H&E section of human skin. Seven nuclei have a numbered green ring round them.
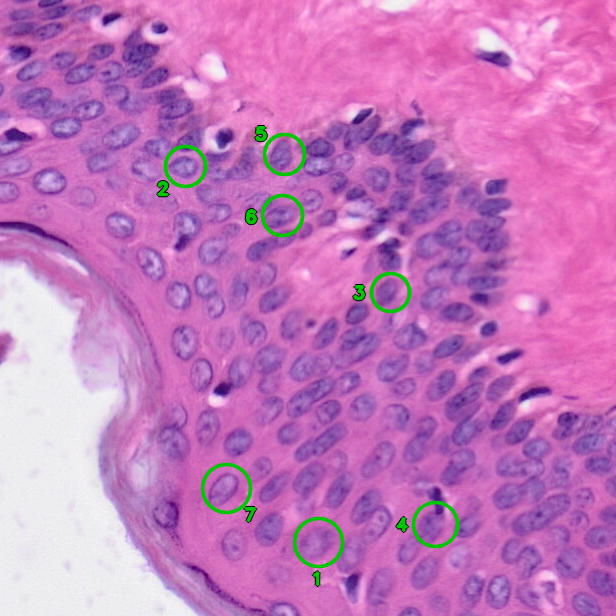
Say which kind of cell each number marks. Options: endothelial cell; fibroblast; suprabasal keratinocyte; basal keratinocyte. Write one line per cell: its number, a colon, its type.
1: suprabasal keratinocyte
2: suprabasal keratinocyte
3: basal keratinocyte
4: suprabasal keratinocyte
5: basal keratinocyte
6: basal keratinocyte
7: suprabasal keratinocyte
